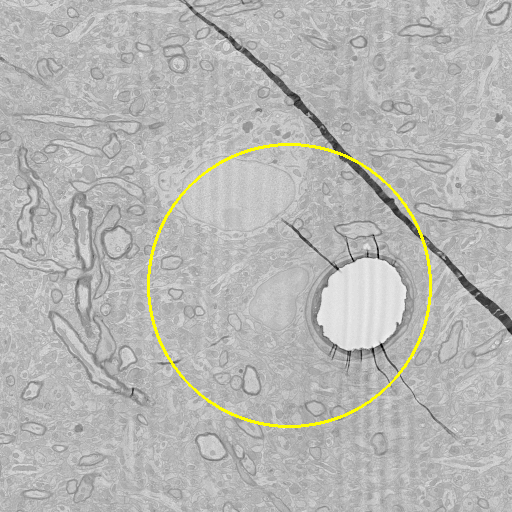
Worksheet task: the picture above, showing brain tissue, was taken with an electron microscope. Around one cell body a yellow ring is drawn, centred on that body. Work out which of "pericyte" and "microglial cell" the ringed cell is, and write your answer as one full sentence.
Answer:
It is a microglial cell whose cell body lies at the centre of the yellow ring.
